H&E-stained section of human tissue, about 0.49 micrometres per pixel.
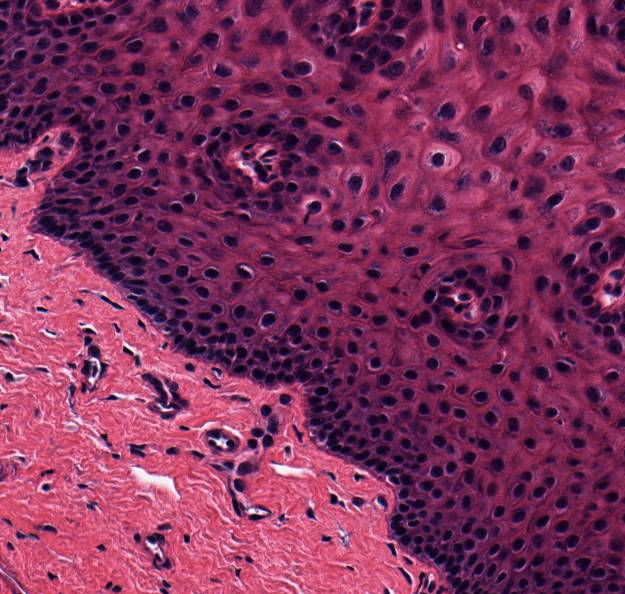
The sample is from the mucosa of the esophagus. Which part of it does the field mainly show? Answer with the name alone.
stratified squamous nonkeratinized epithelium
